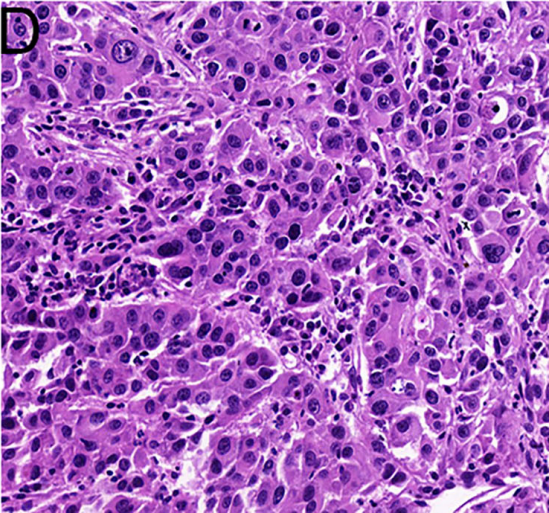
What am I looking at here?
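The cells have abundant pink cytoplasm and sharp cell borders. Nuclei are large, round to irregular, with vesicular chromatin and prominent nucleoli, and vary greatly in size. Some cells are much larger than their neighbours. Small dark lymphocytes are scattered between the tumor cells.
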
